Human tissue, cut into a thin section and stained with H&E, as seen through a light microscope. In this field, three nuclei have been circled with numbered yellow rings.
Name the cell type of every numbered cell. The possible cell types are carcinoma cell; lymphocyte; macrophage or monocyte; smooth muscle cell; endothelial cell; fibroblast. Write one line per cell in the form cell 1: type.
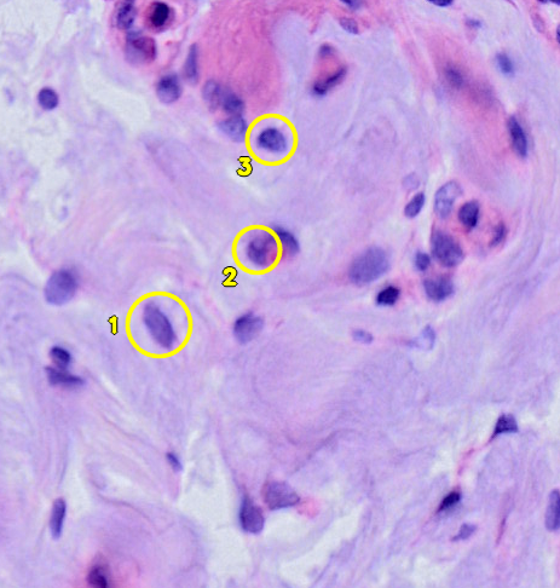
cell 1: fibroblast
cell 2: endothelial cell
cell 3: lymphocyte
